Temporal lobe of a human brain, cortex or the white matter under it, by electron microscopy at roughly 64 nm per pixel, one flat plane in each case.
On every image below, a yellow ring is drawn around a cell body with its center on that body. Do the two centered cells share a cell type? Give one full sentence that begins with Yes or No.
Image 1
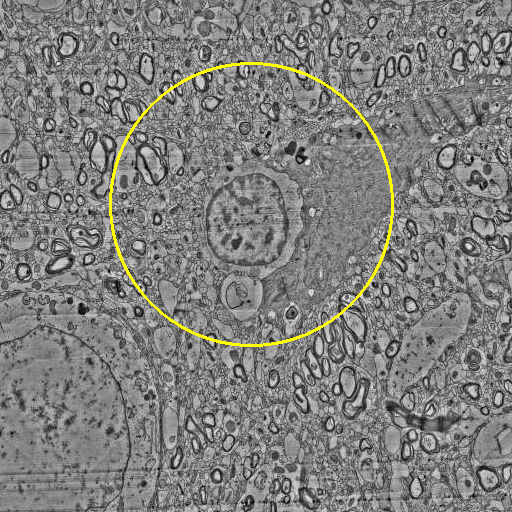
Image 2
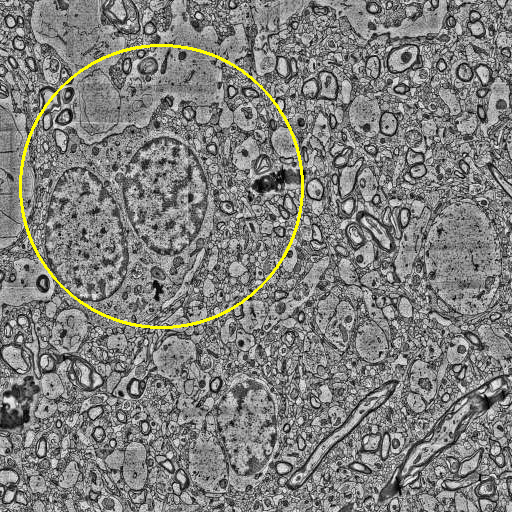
Yes, the centered cells in the two images are of a single cell type.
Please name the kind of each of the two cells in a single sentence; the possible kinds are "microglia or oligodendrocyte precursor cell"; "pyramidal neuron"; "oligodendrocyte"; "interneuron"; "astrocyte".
Both cells are the same kind, each one being an oligodendrocyte.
